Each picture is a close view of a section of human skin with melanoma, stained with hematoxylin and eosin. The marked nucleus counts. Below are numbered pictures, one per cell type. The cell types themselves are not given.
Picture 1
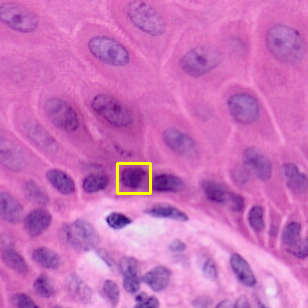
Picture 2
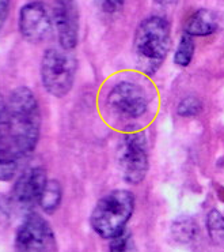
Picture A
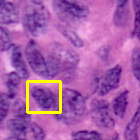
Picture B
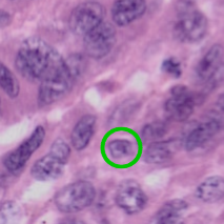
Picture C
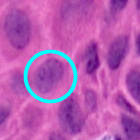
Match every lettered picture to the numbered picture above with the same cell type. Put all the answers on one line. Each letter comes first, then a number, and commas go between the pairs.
A 2, B 2, C 1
